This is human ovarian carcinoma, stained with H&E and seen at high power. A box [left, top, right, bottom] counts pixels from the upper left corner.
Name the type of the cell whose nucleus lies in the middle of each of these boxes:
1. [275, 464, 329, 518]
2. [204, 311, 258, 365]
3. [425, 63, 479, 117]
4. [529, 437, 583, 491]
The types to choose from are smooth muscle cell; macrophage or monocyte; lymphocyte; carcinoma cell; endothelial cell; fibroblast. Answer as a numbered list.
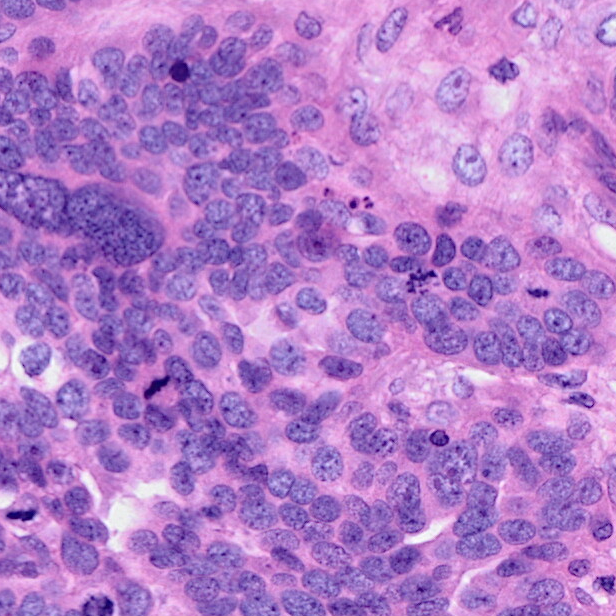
1. carcinoma cell
2. carcinoma cell
3. fibroblast
4. carcinoma cell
